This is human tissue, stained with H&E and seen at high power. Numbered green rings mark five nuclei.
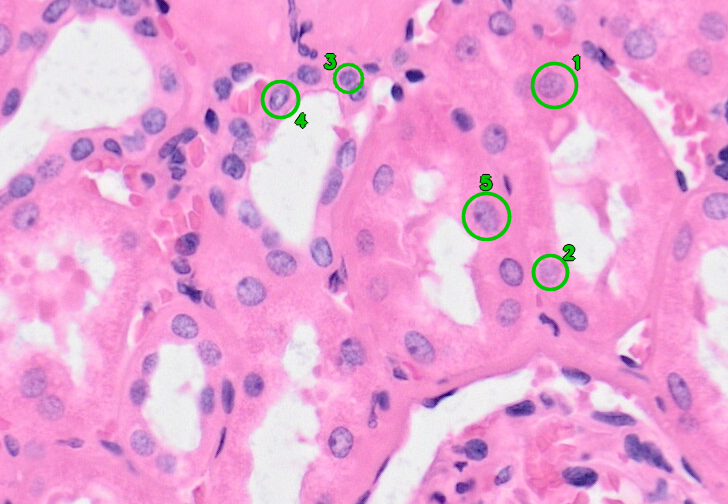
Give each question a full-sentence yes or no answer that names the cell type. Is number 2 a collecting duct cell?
No, the right label for cell 2 is a proximal tubule cell rather than a collecting duct cell.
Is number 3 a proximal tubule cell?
No, as for cell 3, it is a collecting duct cell and not a proximal tubule cell.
